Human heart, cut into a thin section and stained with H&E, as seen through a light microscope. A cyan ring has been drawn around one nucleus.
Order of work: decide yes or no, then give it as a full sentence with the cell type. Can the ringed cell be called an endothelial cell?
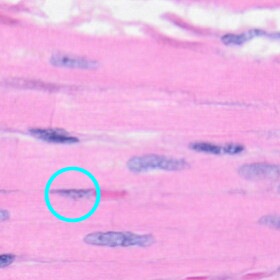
Yes, regarding cell type, the ringed cell is an endothelial cell.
